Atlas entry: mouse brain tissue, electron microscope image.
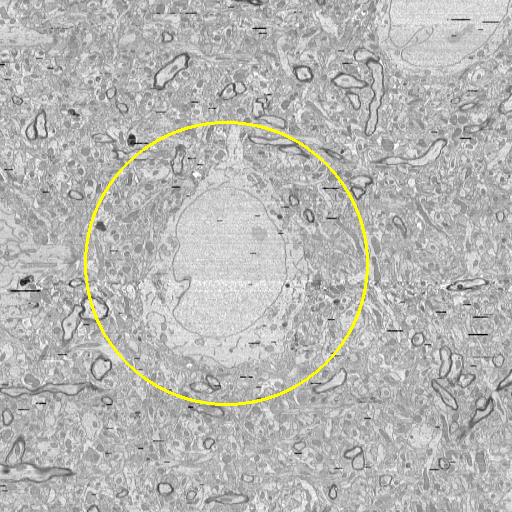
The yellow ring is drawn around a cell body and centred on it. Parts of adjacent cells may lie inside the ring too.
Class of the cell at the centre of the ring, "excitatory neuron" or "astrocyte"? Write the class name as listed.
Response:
excitatory neuron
